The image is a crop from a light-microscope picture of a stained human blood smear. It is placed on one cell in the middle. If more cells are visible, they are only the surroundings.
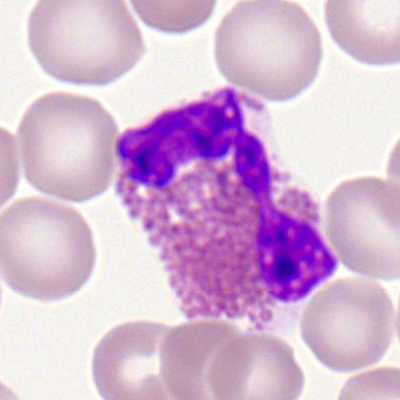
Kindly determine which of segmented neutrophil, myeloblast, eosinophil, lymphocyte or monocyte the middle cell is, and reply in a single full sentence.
Whatever else lies nearby, the middle cell is an eosinophil.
